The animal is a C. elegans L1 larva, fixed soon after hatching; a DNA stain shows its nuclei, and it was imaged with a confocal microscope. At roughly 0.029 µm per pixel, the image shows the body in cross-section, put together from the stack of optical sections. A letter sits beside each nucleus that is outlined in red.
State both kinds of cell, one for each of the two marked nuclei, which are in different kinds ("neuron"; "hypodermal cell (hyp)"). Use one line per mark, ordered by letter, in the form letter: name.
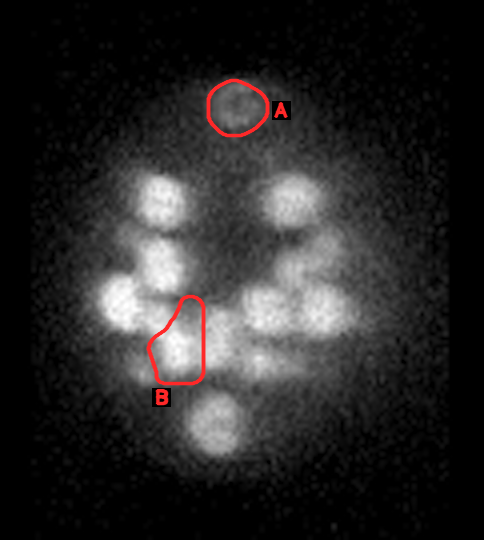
A: hypodermal cell (hyp)
B: neuron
